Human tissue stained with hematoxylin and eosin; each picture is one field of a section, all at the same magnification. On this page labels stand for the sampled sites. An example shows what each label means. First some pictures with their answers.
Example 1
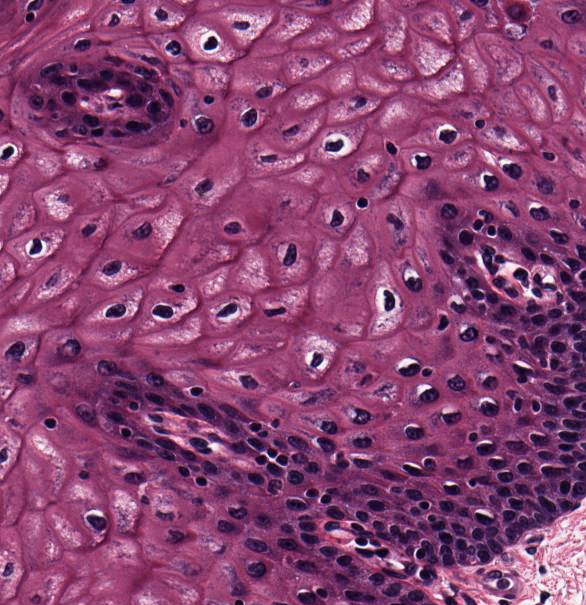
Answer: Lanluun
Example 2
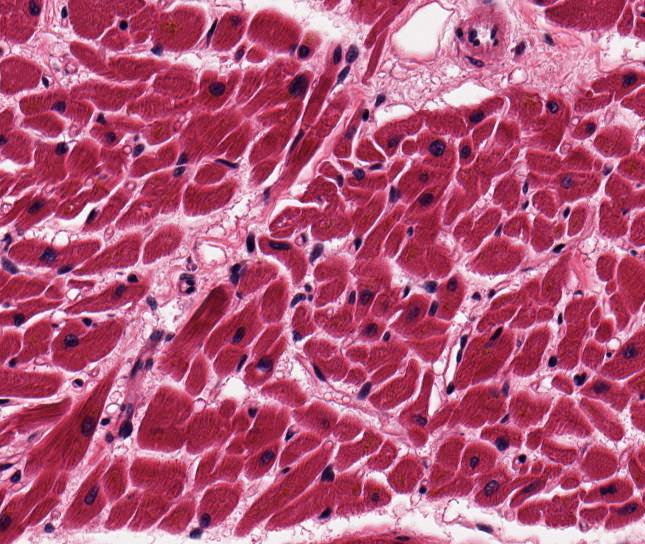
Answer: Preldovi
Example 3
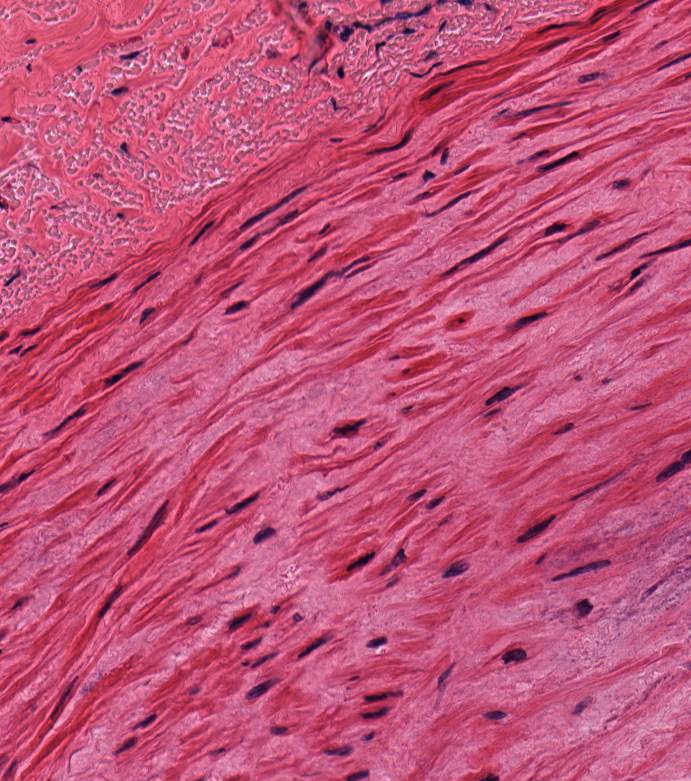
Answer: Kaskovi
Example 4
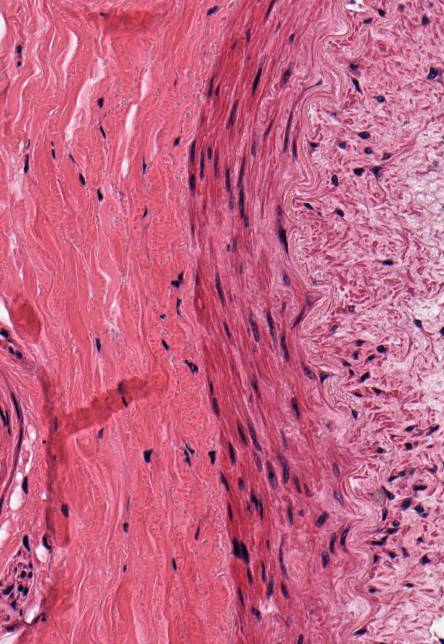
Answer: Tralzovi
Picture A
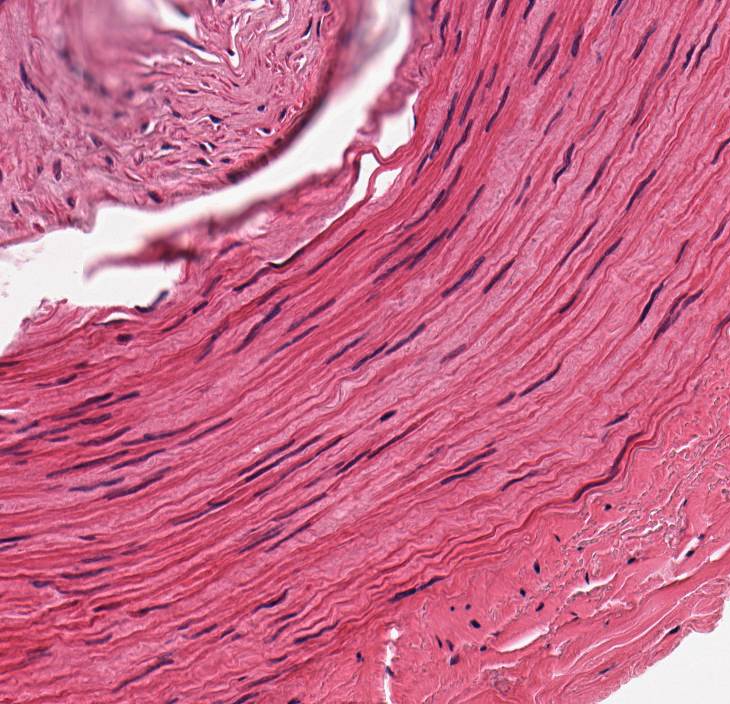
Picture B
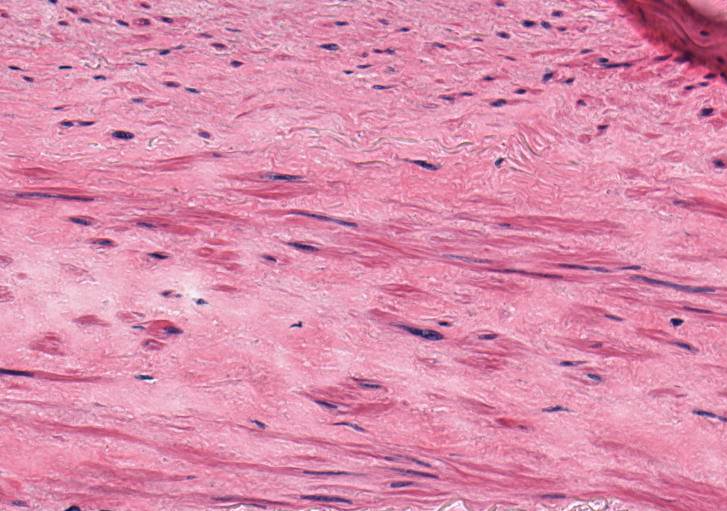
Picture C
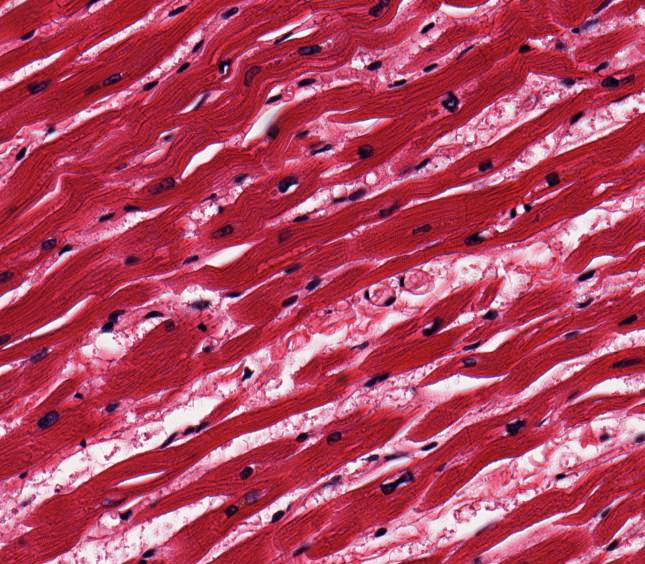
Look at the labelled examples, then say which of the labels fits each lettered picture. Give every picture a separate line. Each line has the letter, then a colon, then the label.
A: Kaskovi
B: Kaskovi
C: Preldovi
